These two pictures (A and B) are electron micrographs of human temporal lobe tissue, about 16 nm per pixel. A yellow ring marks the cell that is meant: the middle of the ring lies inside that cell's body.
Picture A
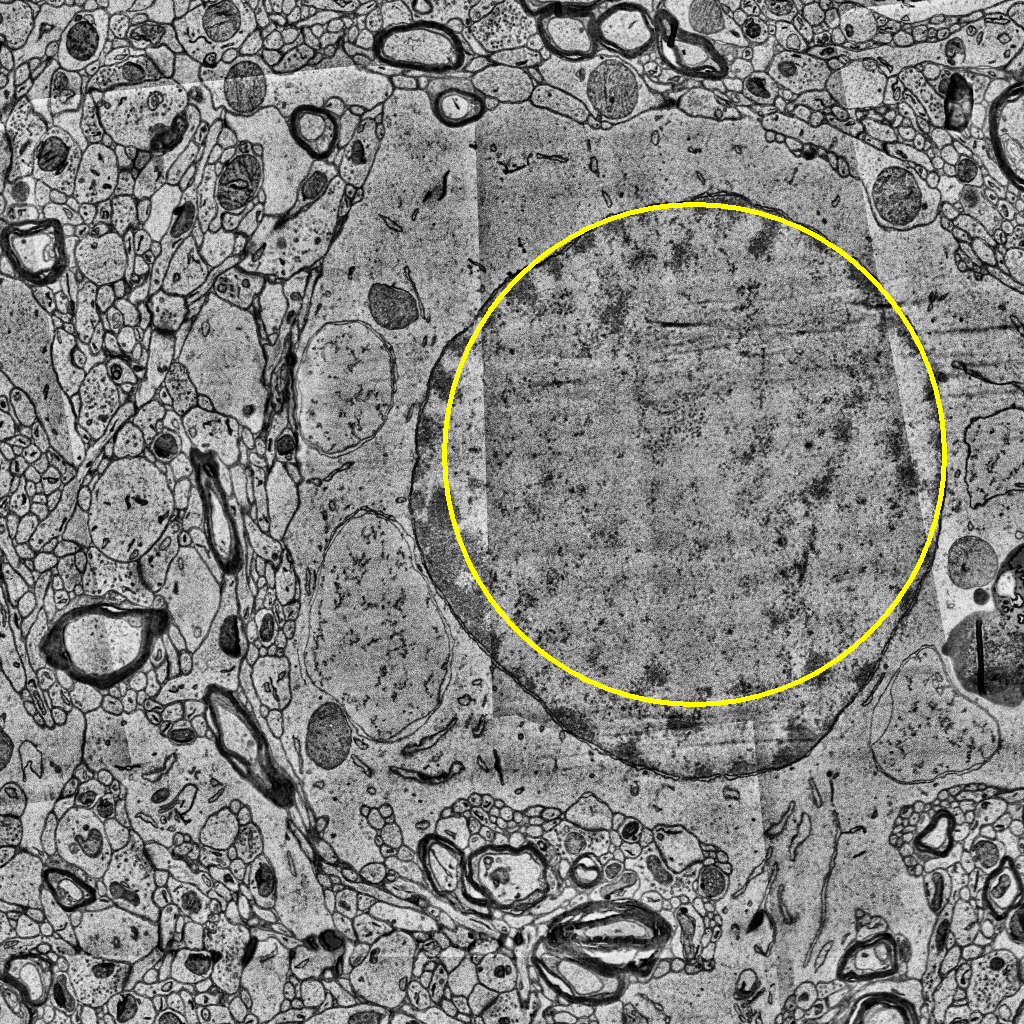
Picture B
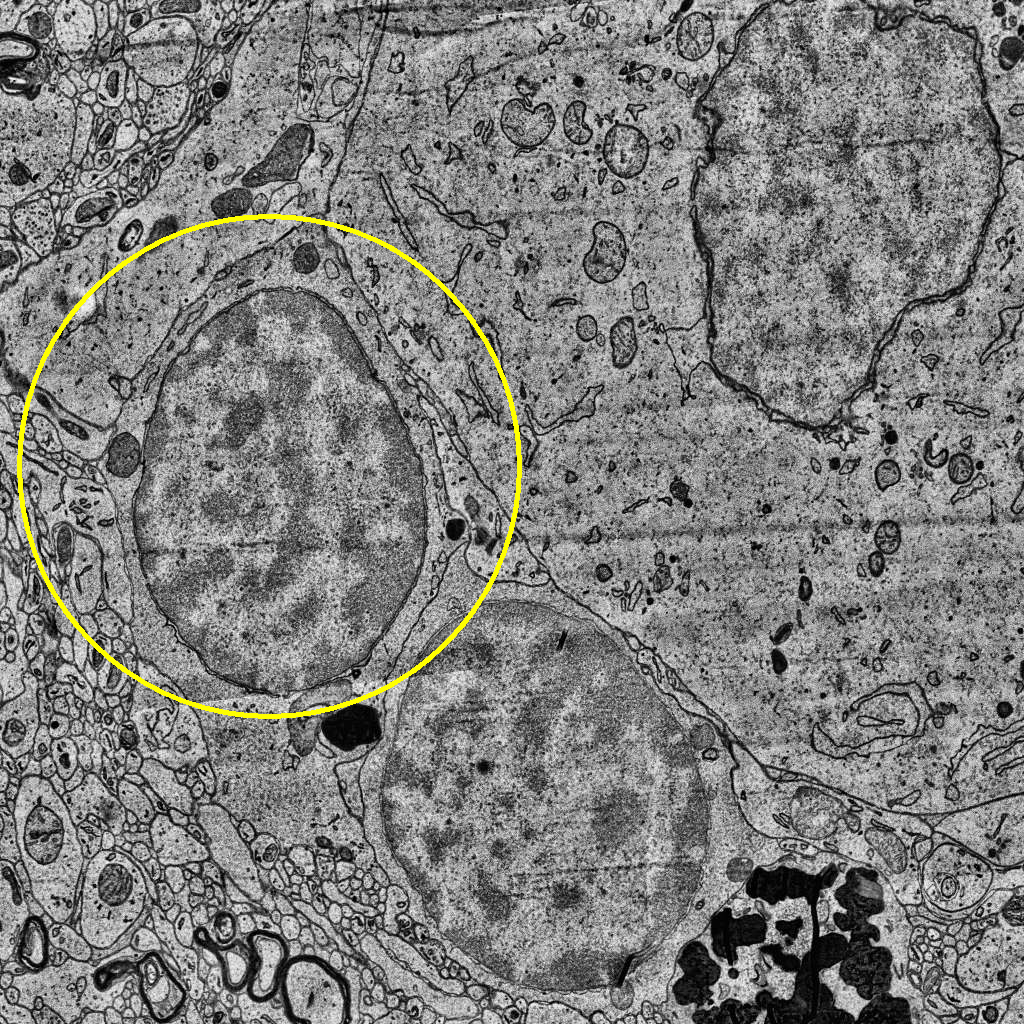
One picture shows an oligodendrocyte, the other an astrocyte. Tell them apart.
It is picture A that shows an astrocyte, and picture B that shows an oligodendrocyte.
